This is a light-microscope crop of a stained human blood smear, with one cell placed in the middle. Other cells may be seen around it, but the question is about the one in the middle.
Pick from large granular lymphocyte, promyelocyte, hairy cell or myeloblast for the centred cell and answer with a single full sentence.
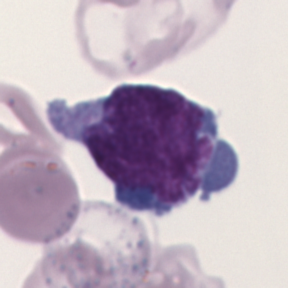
On this slide crop, the central cell is a myeloblast.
